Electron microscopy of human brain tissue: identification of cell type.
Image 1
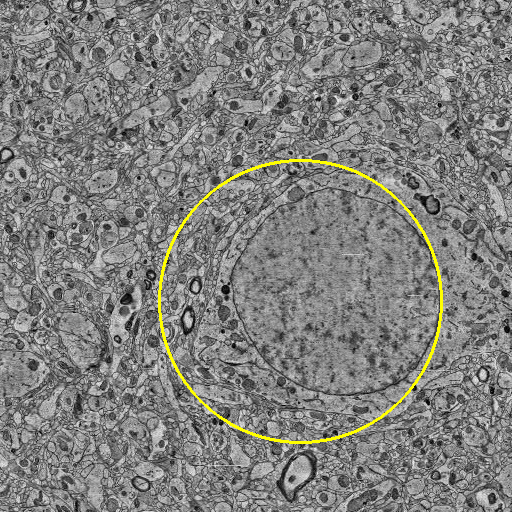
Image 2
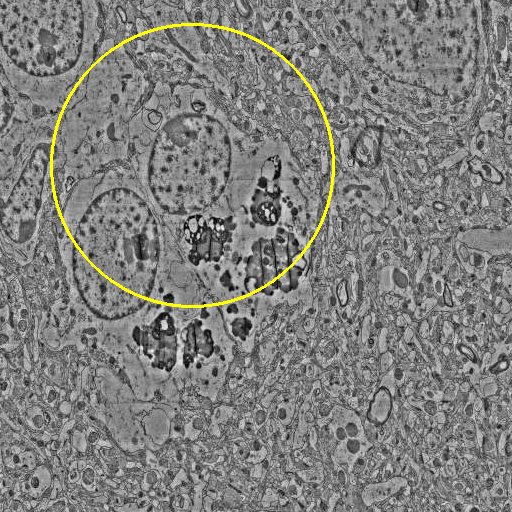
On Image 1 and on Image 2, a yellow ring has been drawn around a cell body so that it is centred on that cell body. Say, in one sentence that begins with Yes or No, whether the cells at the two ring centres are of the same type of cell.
No, the two cells are two separate types of cell.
